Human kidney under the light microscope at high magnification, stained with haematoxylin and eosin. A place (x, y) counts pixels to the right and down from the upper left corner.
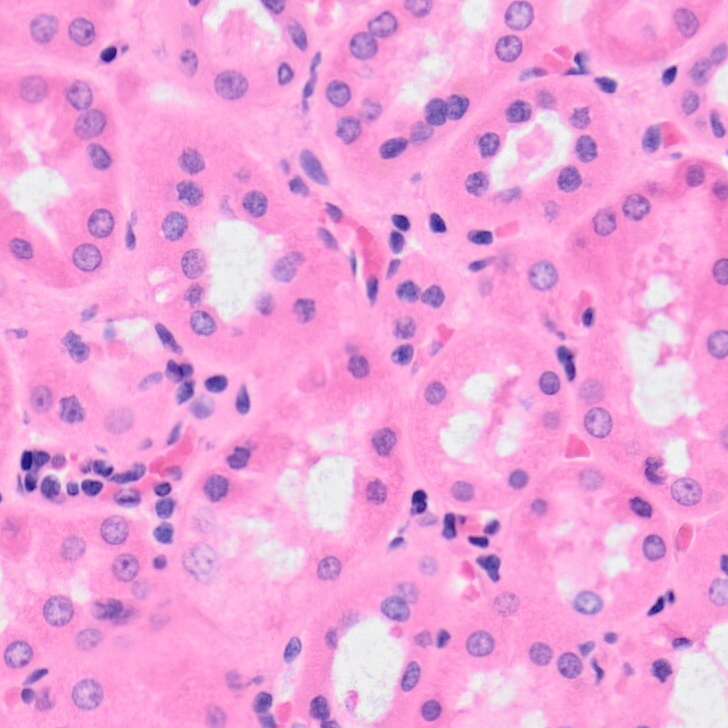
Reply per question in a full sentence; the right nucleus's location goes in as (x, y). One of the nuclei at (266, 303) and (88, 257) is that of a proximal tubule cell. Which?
Identified as belonging to a proximal tubule cell is the nucleus at (88, 257).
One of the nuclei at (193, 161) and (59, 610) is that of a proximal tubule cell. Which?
Among the two nuclei, the one found at (59, 610) belongs to a proximal tubule cell.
